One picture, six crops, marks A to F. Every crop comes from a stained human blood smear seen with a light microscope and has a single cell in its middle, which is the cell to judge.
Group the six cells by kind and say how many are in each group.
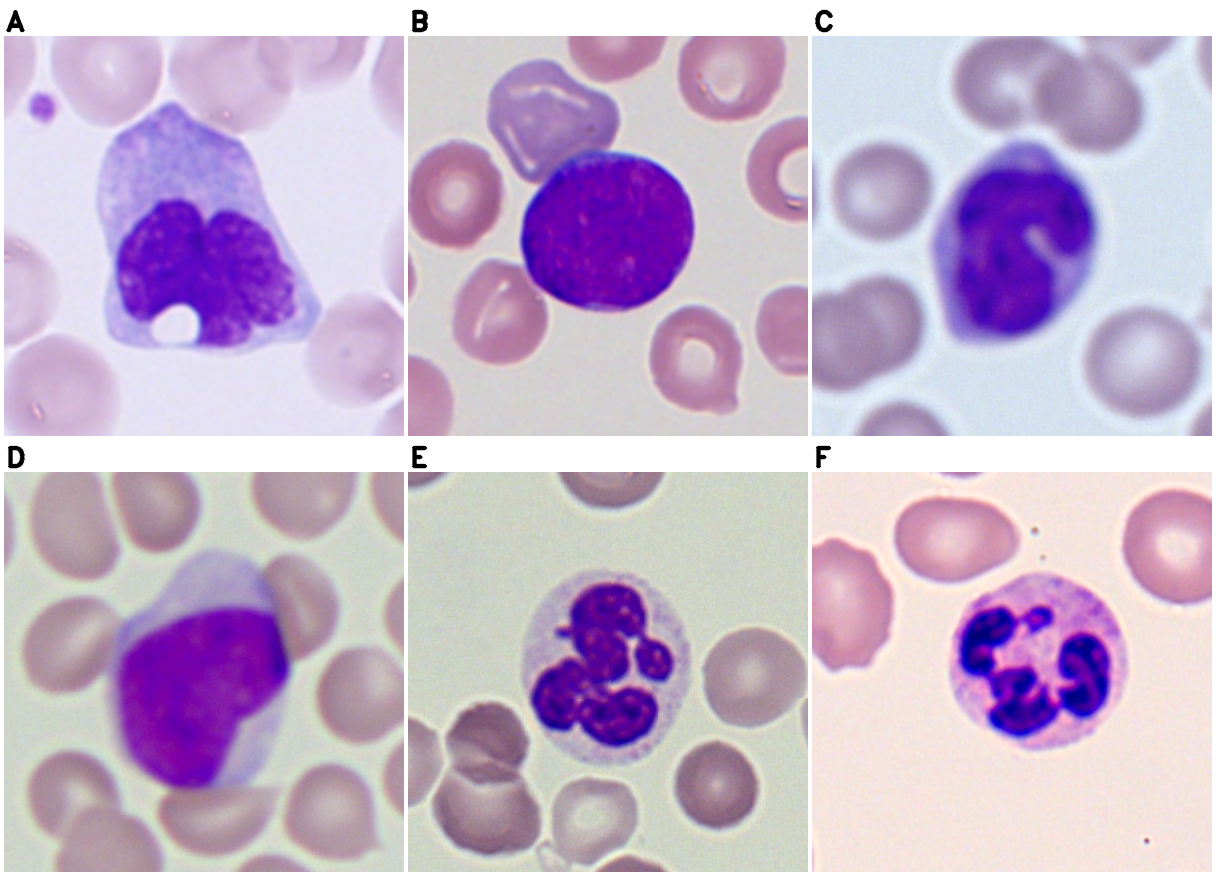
monocyte: 2
myeloblast: 2
segmented neutrophil: 2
